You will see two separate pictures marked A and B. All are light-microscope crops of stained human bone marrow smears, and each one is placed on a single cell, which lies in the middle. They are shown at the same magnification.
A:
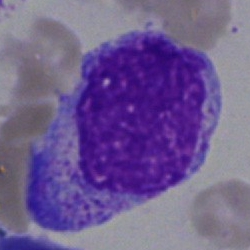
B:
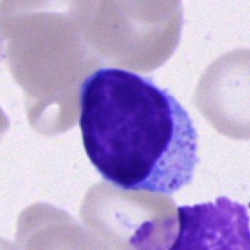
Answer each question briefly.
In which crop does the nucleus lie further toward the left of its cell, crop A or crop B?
B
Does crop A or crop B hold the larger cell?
A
